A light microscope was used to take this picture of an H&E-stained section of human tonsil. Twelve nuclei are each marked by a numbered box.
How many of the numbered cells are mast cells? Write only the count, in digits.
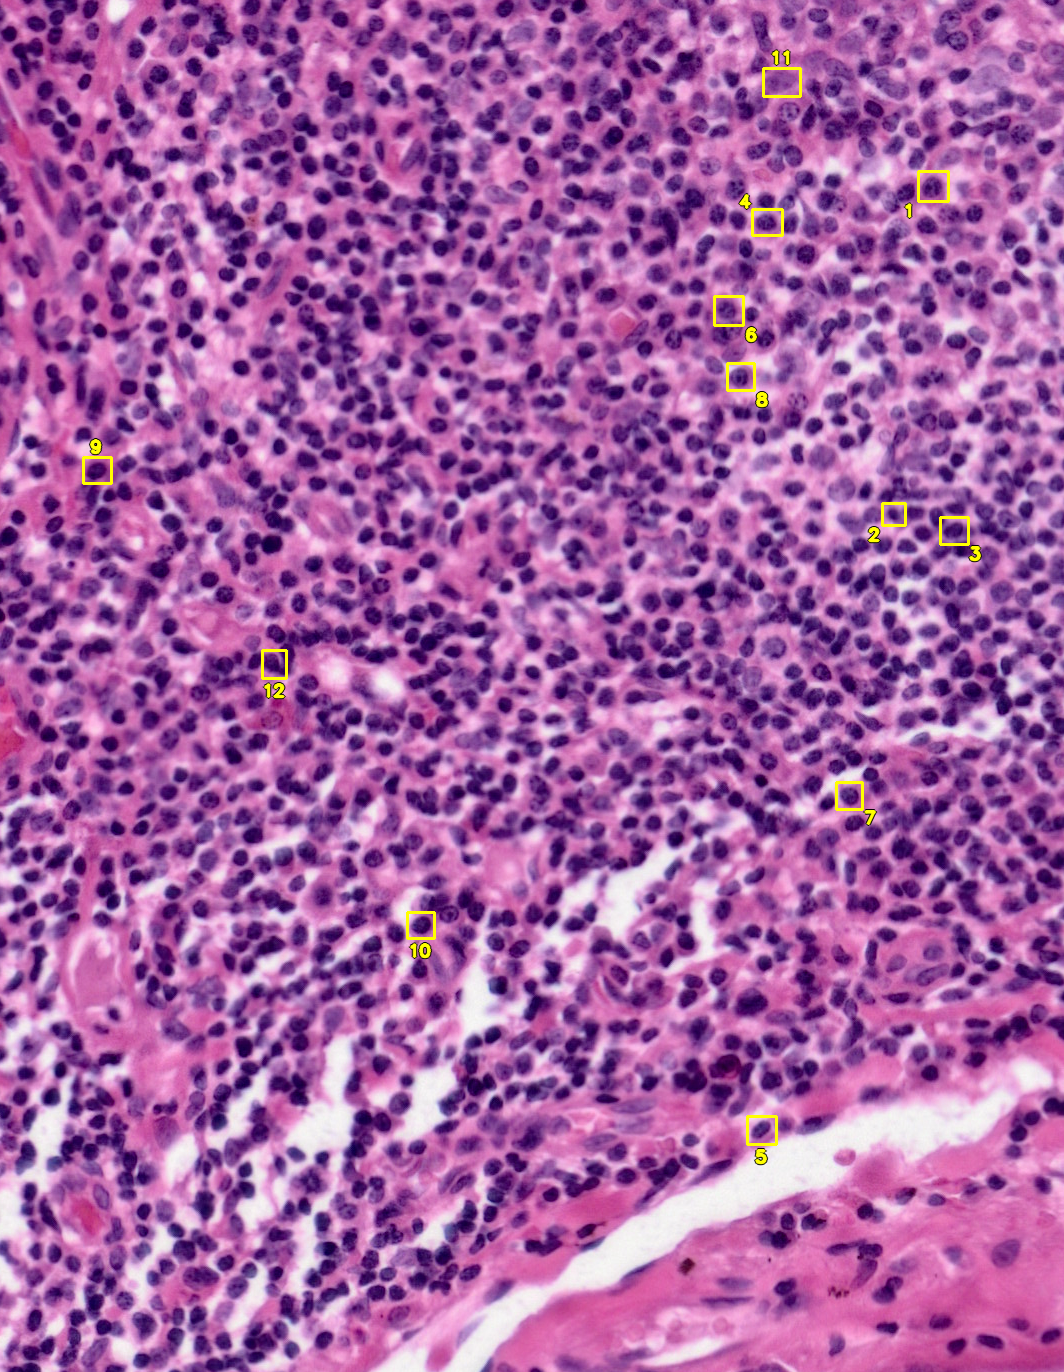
1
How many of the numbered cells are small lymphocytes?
3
